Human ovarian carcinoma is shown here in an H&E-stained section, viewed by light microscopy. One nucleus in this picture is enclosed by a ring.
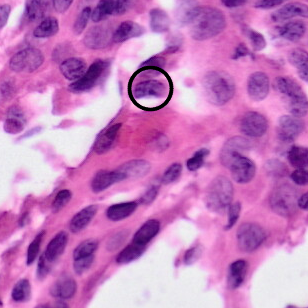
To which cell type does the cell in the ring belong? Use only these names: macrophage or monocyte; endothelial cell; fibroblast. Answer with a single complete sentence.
The cell meant here is a macrophage or monocyte.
